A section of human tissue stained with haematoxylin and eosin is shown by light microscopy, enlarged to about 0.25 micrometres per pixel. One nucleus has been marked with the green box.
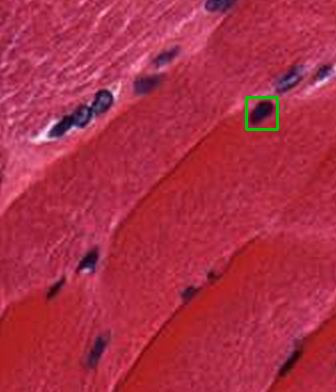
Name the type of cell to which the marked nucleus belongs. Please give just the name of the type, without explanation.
skeletal muscle fibre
